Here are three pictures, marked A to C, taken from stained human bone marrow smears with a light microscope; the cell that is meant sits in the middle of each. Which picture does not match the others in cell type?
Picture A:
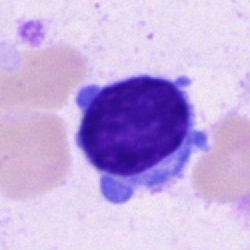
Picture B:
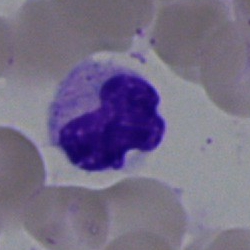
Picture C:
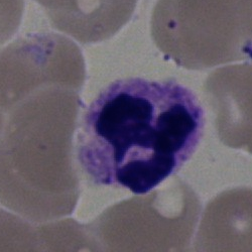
A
